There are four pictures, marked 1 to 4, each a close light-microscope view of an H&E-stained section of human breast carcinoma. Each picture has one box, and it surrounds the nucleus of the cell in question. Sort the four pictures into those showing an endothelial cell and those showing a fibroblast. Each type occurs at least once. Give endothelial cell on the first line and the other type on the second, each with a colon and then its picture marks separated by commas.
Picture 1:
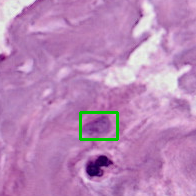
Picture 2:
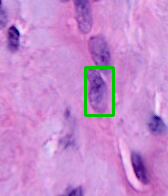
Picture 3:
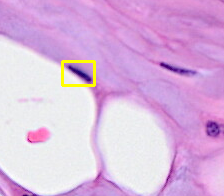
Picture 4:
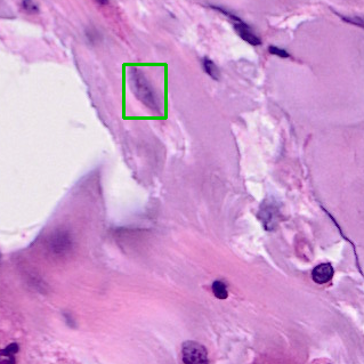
endothelial cell: 2
fibroblast: 1, 3, 4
